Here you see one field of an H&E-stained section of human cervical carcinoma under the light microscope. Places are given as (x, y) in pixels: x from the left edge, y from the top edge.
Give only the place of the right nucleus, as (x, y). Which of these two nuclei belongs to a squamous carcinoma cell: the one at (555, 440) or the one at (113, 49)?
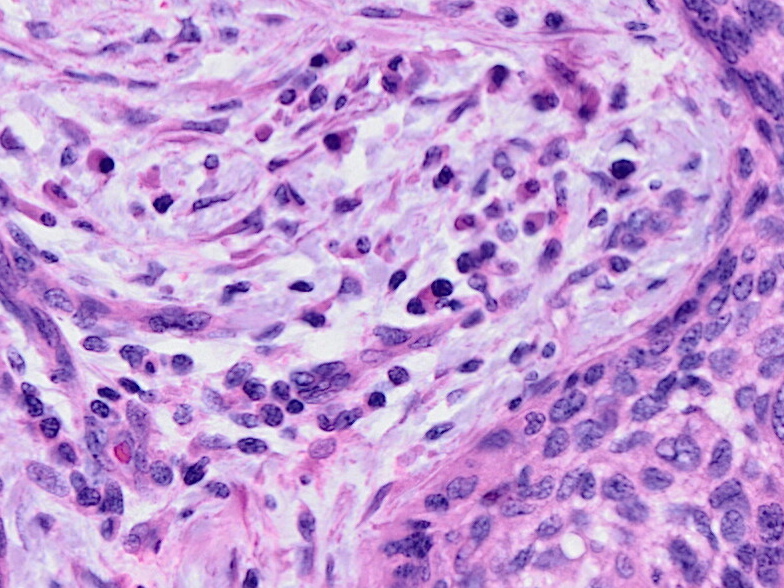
(555, 440)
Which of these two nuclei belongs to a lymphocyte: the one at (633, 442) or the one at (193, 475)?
(193, 475)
